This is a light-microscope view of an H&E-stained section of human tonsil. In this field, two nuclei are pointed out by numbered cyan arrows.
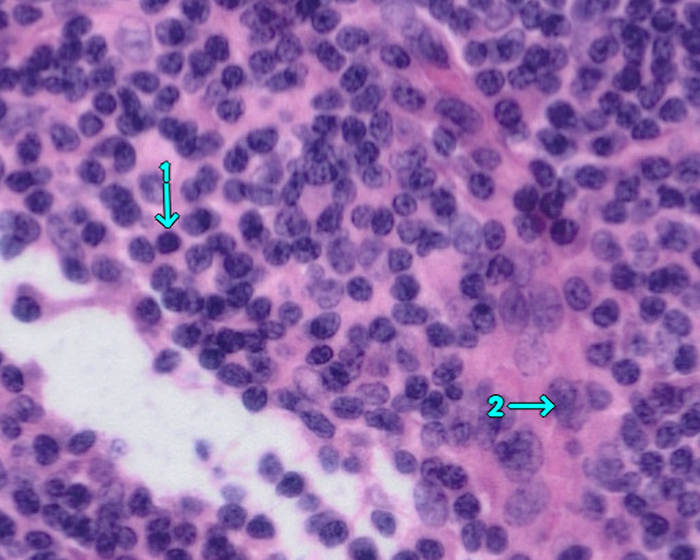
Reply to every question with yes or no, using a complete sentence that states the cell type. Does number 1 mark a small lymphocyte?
Yes, regarding cell number 1, it is a small lymphocyte.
